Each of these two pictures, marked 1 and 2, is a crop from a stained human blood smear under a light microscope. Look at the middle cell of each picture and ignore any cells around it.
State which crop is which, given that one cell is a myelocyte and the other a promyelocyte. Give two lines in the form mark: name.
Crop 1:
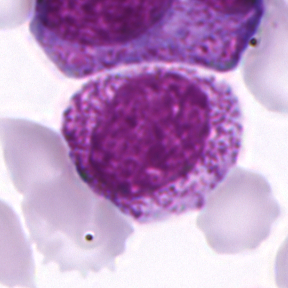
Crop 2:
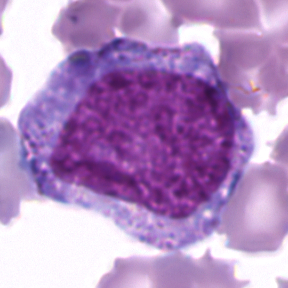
1: myelocyte
2: promyelocyte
